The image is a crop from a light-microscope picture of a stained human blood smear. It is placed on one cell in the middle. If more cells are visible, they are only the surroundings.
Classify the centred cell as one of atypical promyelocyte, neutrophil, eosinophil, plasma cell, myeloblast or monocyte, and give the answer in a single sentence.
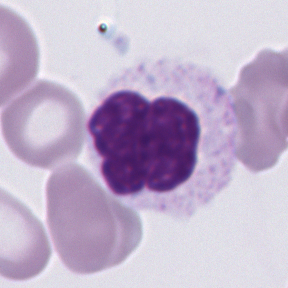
Positioned in the middle of the crop is a neutrophil.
